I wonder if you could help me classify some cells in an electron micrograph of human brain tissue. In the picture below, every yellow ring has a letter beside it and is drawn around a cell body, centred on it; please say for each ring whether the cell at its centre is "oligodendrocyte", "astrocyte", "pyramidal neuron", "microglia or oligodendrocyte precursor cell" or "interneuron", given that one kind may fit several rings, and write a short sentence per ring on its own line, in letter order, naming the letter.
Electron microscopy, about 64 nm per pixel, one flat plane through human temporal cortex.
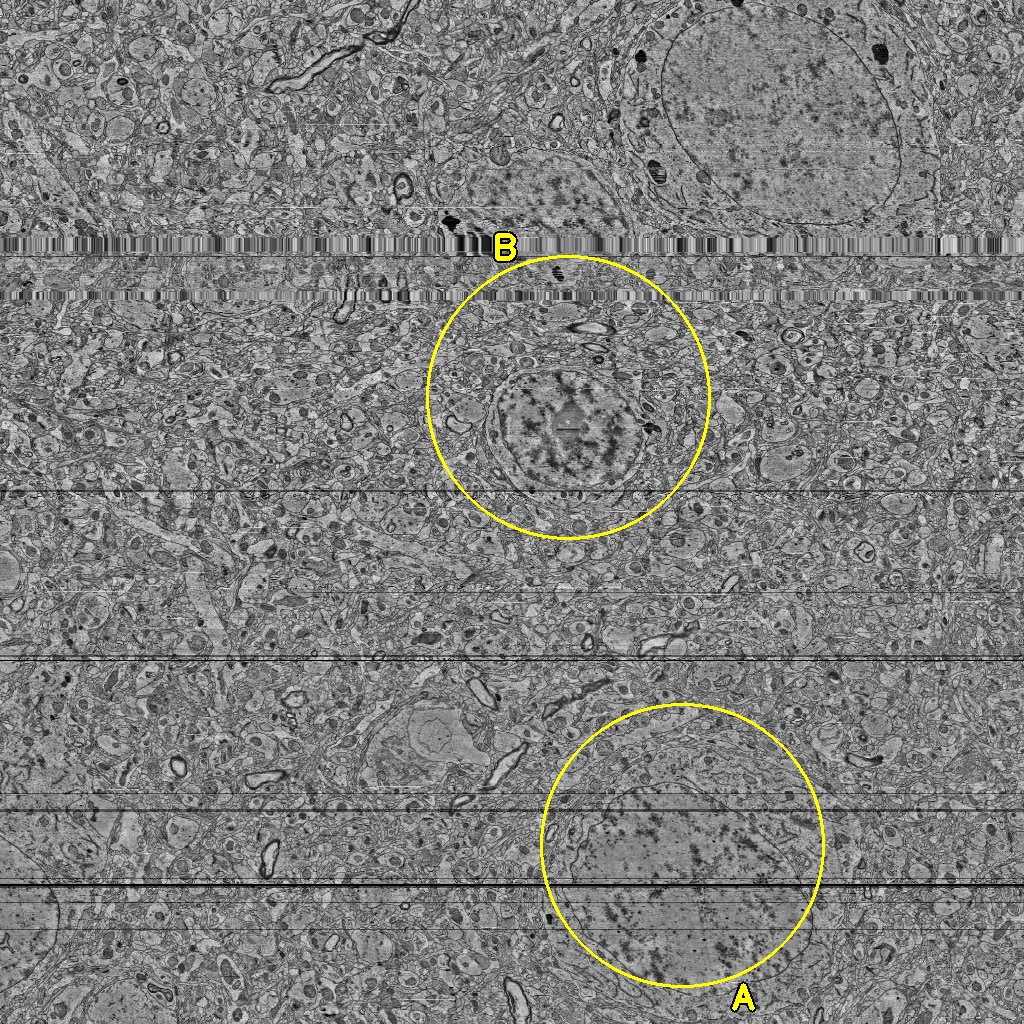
Centred in ring A is a pyramidal neuron.
Centred in ring B is an interneuron.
